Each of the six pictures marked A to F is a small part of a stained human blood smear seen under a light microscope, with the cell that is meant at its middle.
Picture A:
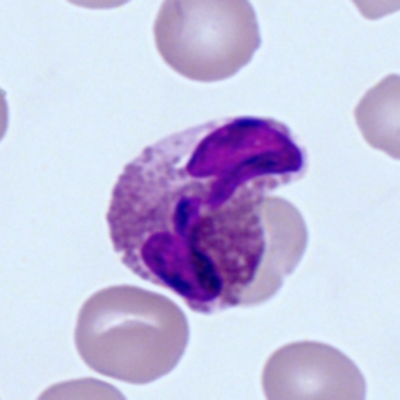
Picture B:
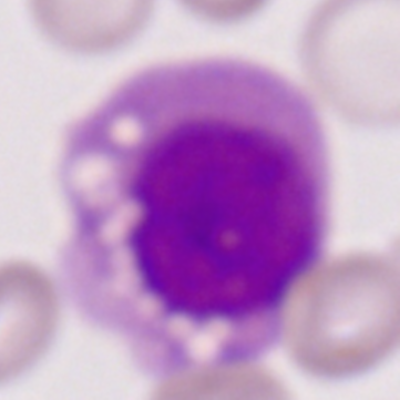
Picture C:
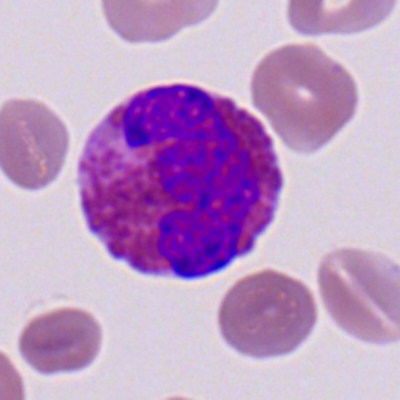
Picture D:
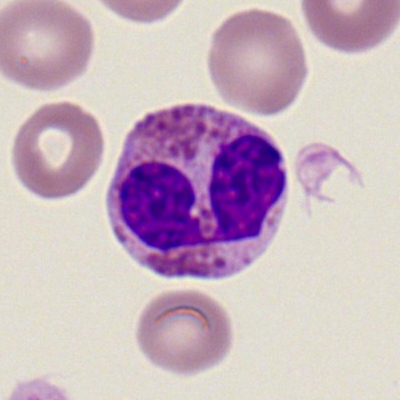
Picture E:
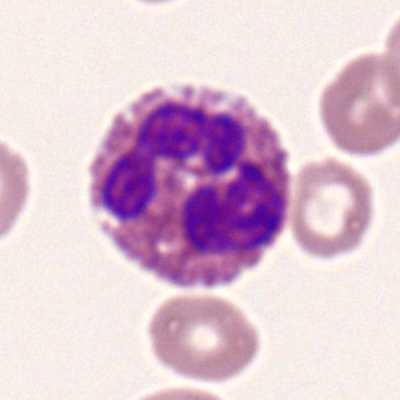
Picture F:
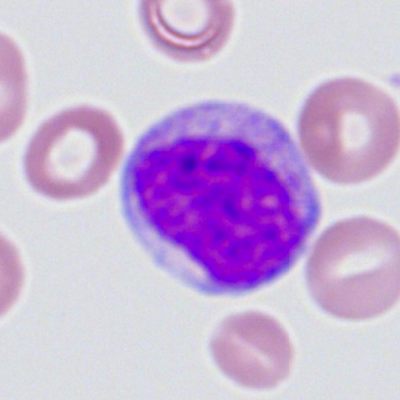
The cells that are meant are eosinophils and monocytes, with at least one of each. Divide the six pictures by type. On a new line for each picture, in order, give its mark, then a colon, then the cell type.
A: eosinophil
B: monocyte
C: eosinophil
D: eosinophil
E: eosinophil
F: monocyte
